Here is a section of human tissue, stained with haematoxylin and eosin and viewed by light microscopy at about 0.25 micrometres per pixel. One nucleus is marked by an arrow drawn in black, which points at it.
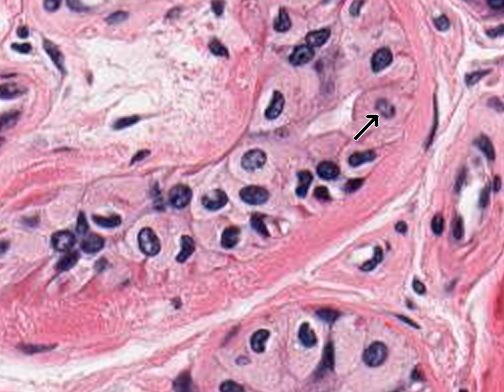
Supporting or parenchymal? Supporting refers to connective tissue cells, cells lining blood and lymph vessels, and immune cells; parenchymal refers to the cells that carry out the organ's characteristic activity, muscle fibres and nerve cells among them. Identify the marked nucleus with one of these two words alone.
parenchymal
